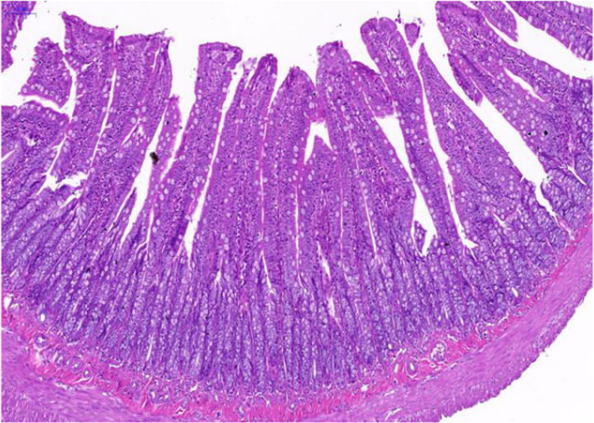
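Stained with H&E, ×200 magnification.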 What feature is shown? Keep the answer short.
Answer: Villi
